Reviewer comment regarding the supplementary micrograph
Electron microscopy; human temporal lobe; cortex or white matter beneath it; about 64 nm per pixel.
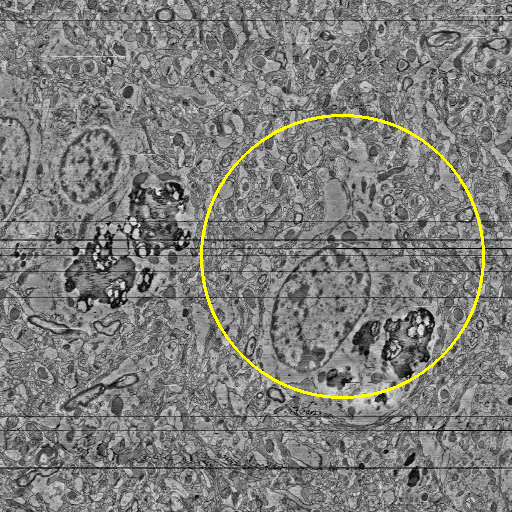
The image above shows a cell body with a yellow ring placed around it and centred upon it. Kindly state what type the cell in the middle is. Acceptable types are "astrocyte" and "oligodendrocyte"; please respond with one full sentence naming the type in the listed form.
In the image above, the cell on which the yellow ring is centred is an astrocyte.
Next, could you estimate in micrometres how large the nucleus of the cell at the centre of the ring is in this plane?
The nucleus comes to approximately 9 by 5 micrometres and is clearly longer than it is wide in this plane.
